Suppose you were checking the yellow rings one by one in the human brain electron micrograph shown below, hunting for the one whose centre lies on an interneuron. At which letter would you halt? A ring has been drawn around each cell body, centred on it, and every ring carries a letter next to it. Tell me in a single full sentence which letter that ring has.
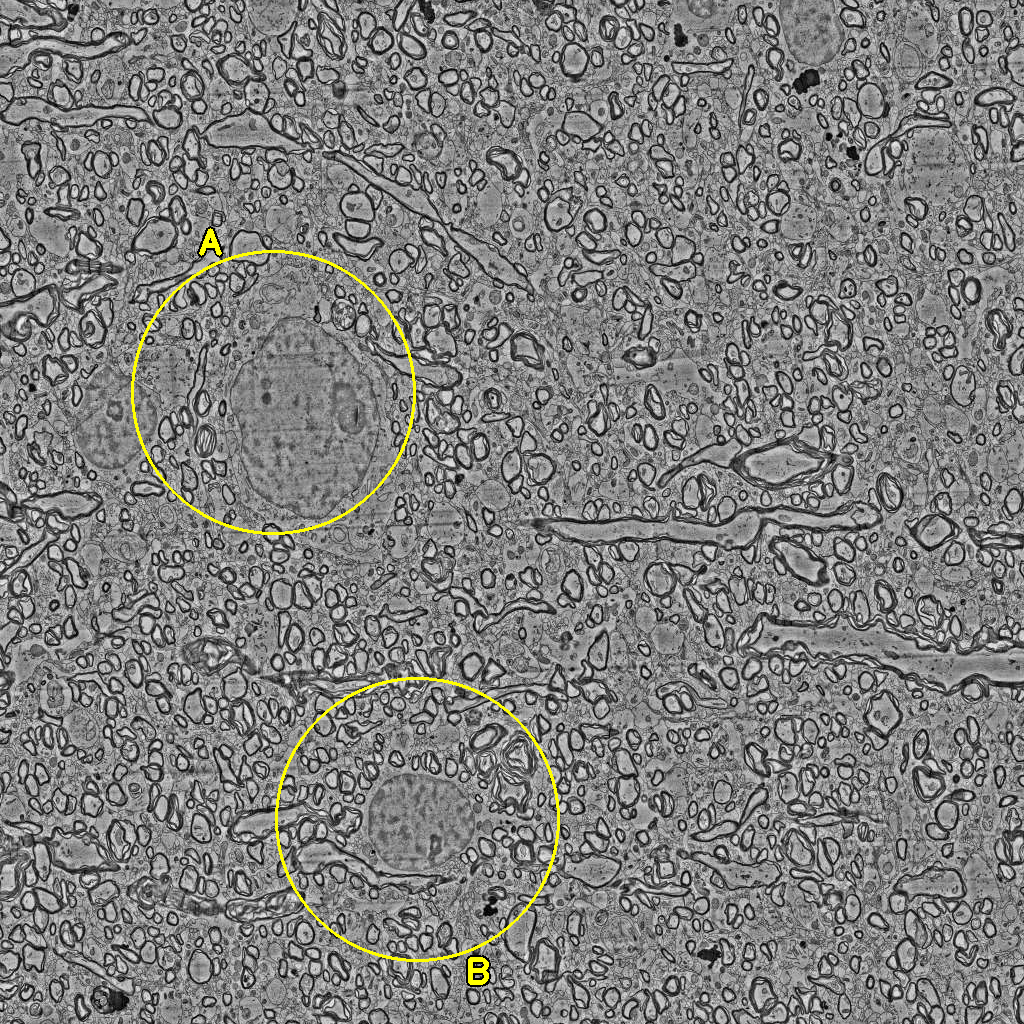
Going through the rings, I would stop at ring A, the one centred on the cell asked for.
